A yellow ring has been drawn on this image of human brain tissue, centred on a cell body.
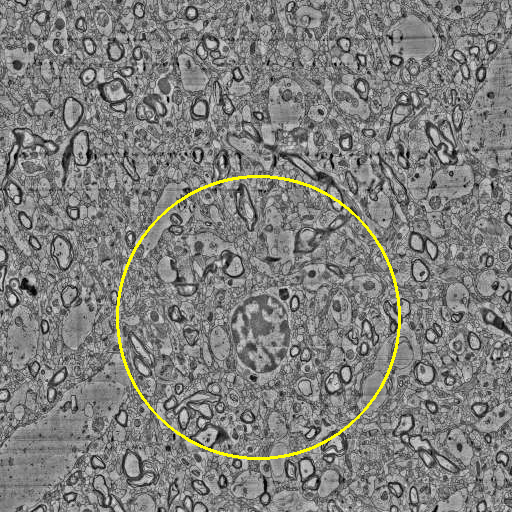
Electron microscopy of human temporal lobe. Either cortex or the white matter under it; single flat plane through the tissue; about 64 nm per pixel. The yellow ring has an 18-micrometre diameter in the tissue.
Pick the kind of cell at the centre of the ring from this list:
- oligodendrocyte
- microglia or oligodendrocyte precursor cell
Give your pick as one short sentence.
The centre of the ring holds a microglial cell or oligodendrocyte precursor cell.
